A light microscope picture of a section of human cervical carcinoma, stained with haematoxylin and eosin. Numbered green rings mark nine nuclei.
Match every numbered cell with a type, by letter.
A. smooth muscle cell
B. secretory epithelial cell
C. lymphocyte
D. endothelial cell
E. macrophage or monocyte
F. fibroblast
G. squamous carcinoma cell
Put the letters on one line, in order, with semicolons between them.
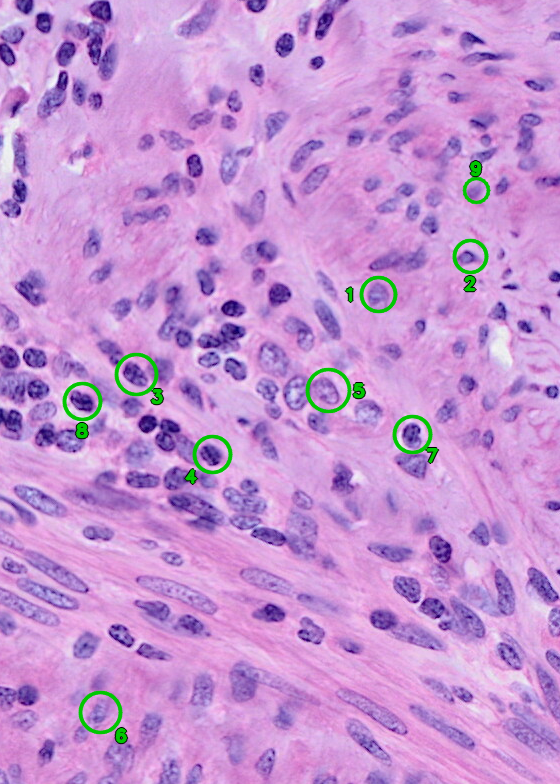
A; A; C; C; D; A; C; C; A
